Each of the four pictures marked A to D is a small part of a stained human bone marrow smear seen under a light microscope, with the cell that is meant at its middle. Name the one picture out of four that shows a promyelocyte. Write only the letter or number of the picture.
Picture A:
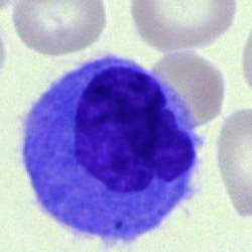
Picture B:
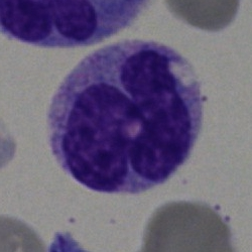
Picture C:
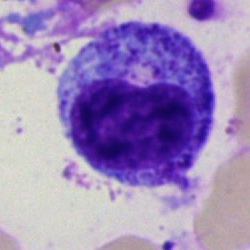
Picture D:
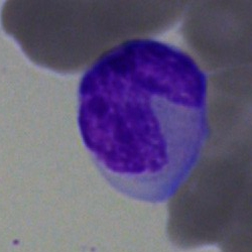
C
